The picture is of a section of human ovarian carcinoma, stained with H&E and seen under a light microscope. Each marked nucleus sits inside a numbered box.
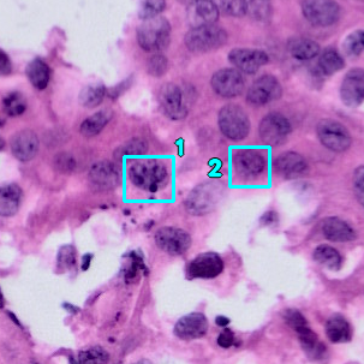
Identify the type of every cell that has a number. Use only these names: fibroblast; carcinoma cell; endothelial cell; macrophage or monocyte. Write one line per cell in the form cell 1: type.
cell 1: macrophage or monocyte
cell 2: carcinoma cell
